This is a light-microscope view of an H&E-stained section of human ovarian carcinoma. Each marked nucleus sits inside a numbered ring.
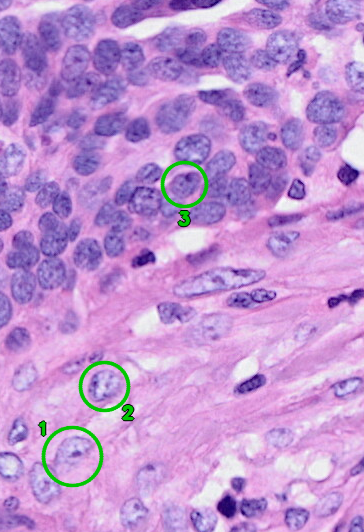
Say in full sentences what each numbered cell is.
Cell 1 is a fibroblast, cell 2 is a fibroblast and cell 3 is a carcinoma cell.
